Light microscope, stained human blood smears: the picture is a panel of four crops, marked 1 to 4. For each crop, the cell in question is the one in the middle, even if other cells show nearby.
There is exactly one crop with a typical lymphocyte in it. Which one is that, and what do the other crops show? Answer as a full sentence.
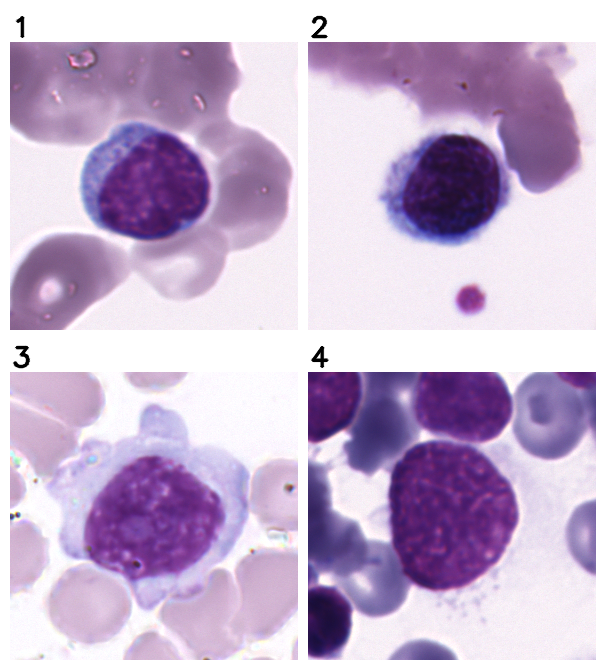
In short, crop 1 is a typical lymphocyte, and crop 2 is a hairy cell, crop 3 is a plasma cell and crop 4 is a smudge cell.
